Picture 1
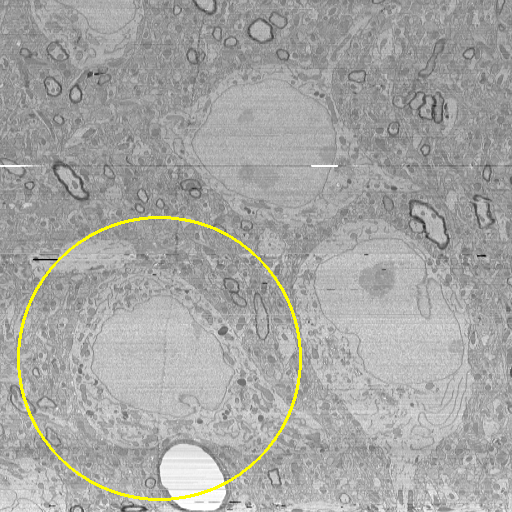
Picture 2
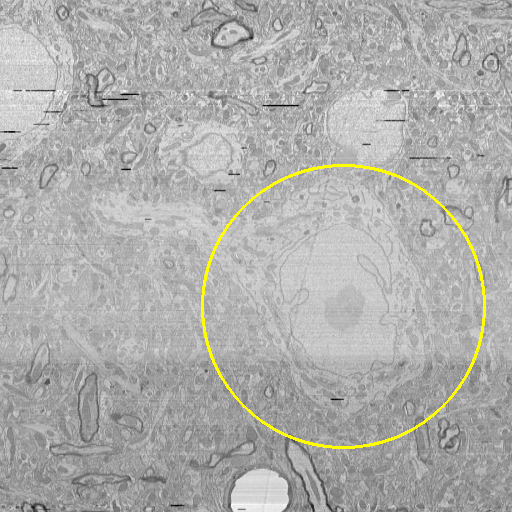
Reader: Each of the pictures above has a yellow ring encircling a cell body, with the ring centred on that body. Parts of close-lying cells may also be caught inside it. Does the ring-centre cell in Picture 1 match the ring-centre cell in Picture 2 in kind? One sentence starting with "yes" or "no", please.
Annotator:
No, Picture 1 and Picture 2 show ring-centre cells of two kinds.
